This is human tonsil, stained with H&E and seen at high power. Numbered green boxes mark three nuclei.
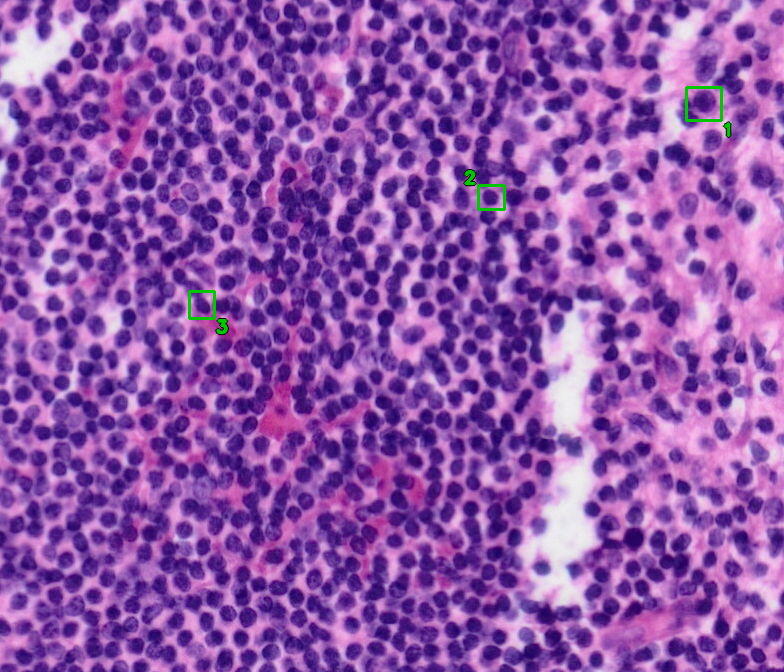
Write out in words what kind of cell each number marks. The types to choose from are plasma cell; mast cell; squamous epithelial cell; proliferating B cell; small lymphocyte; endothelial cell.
Cell 1 is a proliferating B cell, cell 2 is a small lymphocyte and cell 3 is a small lymphocyte.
